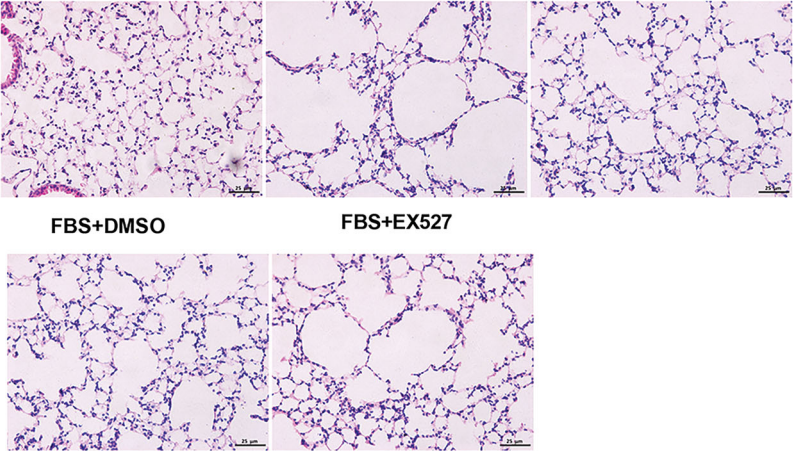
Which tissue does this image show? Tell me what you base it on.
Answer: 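Thin-walled septa enclose many round to polygonal empty airspaces. The septa are lined by small cells with dark purple nuclei. Lumina of larger ducts are lined by a pink cuboidal to columnar epithelium.
Hence: lung tissues.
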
